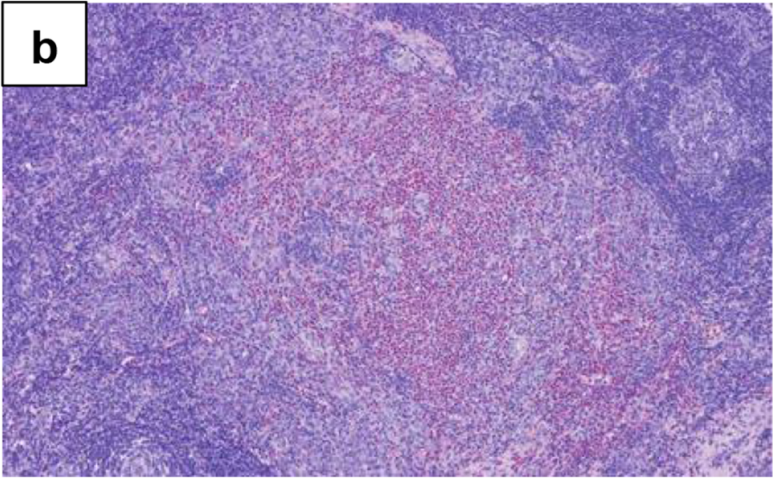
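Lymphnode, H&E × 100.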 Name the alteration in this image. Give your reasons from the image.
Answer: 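A large, roughly oval central area is packed with red-pink cells.
Eosinophilic microabscesses.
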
